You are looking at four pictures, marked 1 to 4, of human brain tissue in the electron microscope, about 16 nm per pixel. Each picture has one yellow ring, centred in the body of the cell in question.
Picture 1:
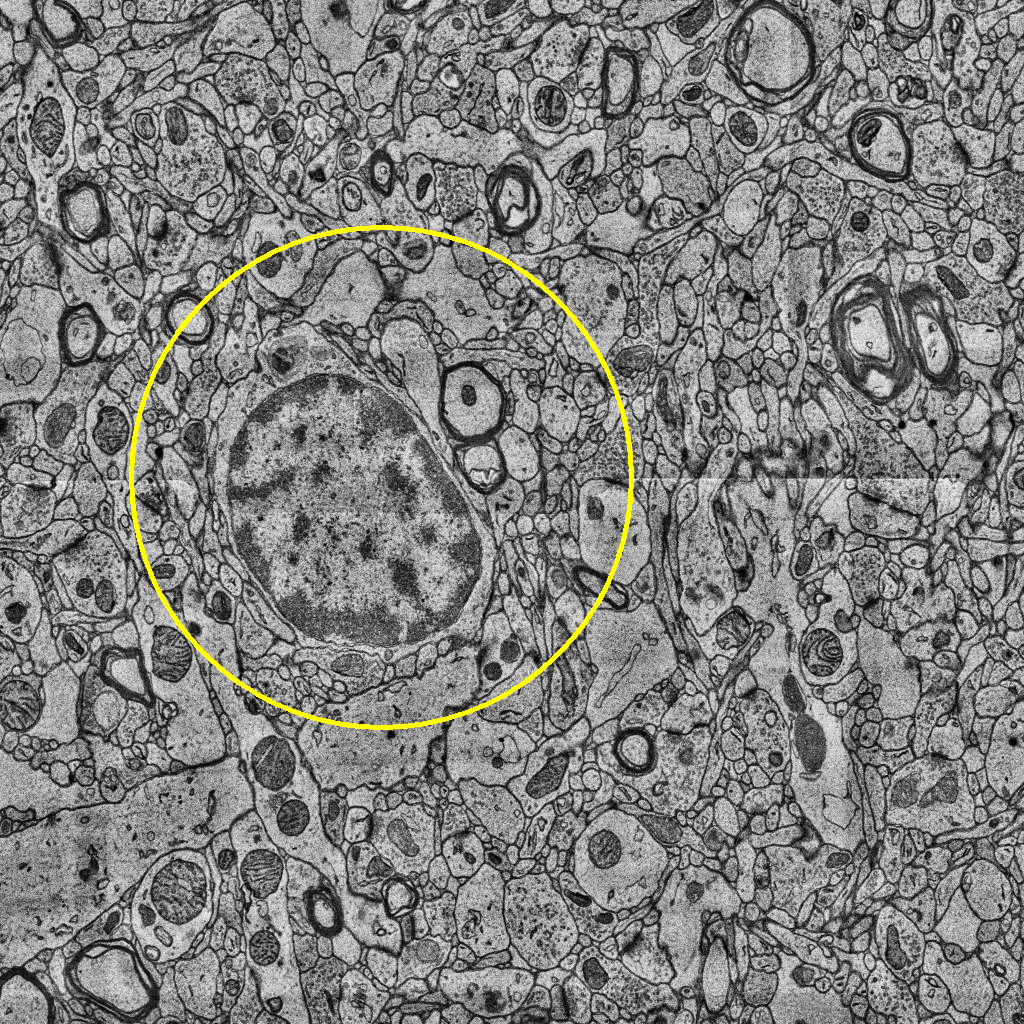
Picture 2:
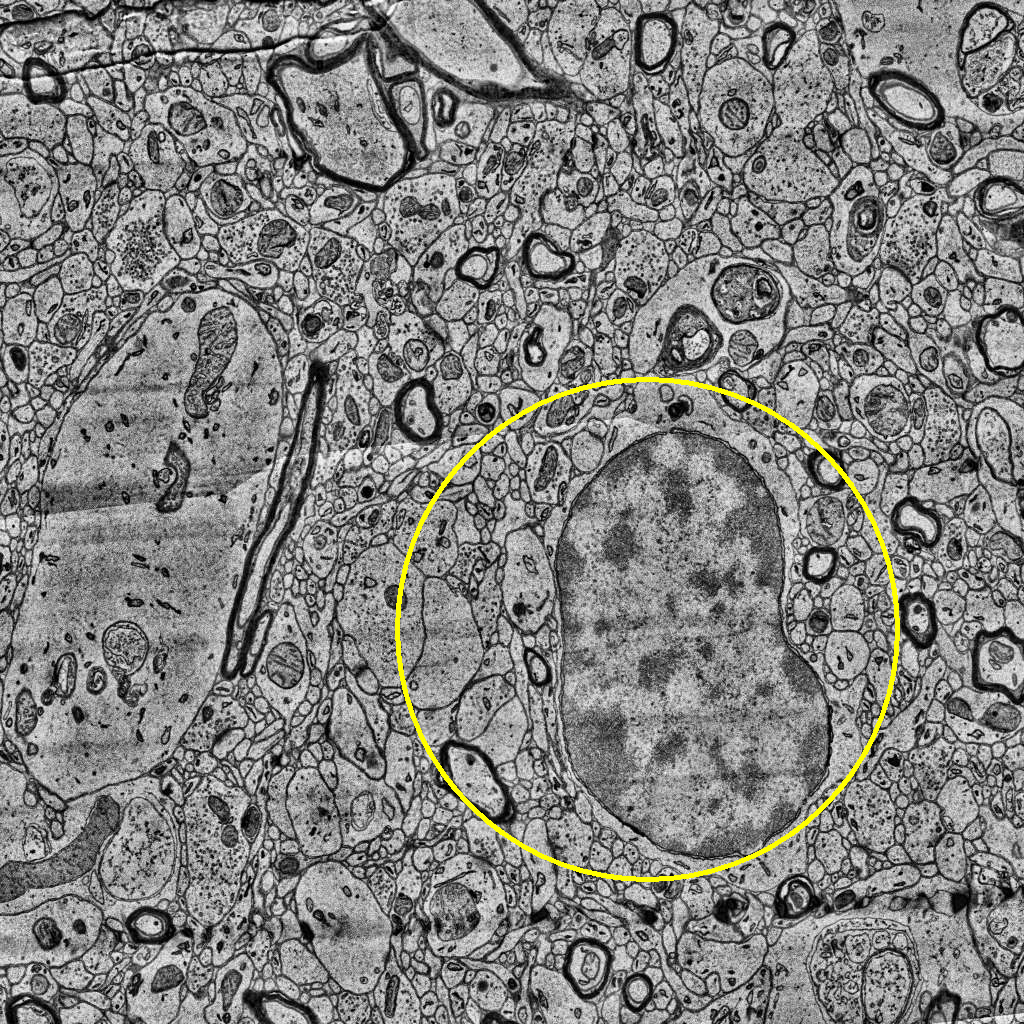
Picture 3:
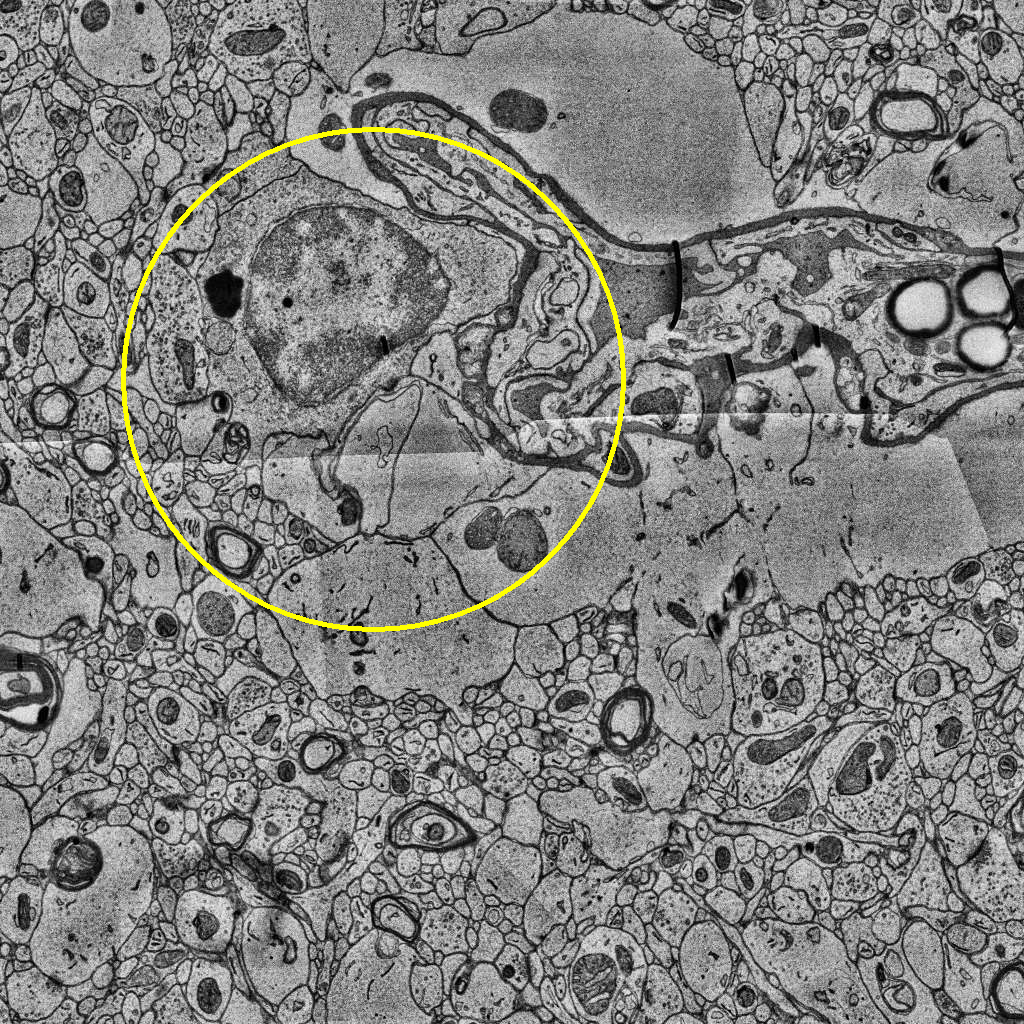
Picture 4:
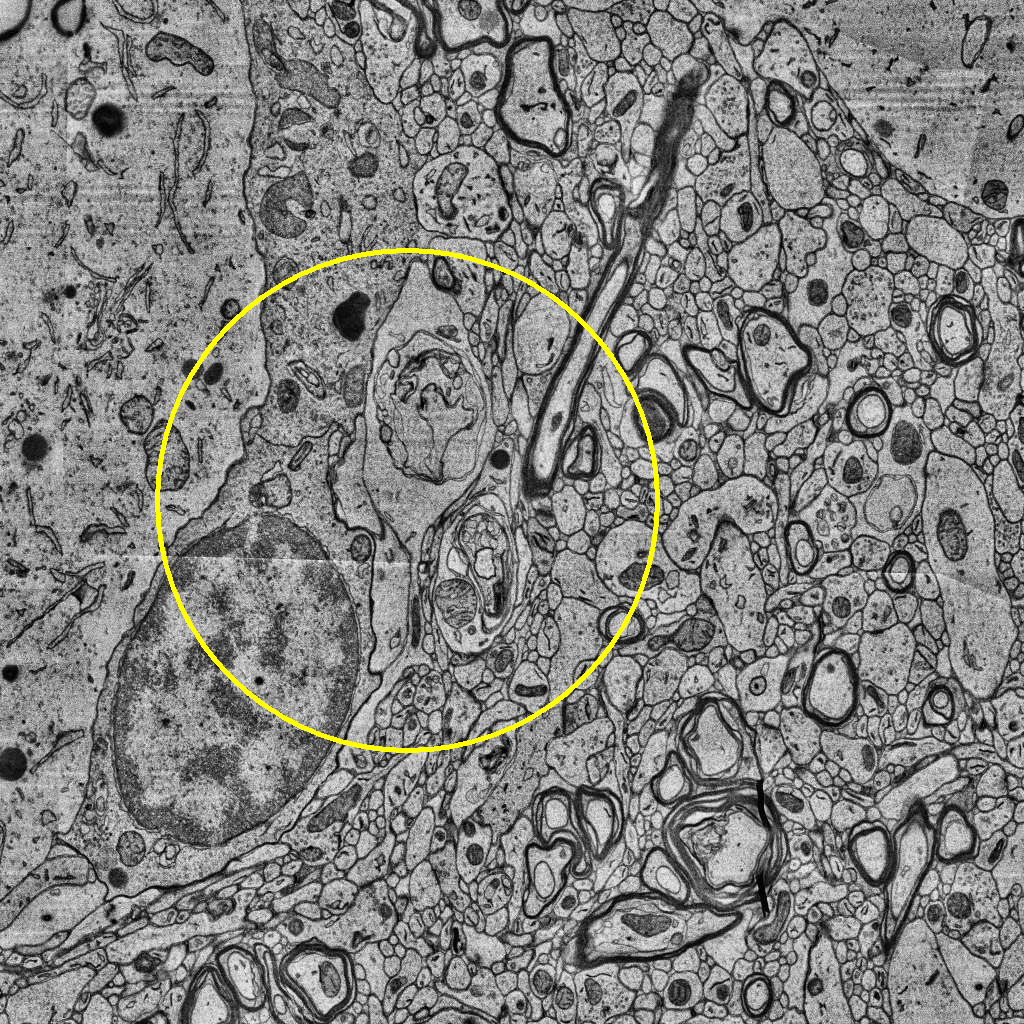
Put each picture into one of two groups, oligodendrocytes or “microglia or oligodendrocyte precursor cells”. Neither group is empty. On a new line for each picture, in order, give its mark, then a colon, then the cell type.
1: microglia or oligodendrocyte precursor cell
2: microglia or oligodendrocyte precursor cell
3: oligodendrocyte
4: microglia or oligodendrocyte precursor cell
